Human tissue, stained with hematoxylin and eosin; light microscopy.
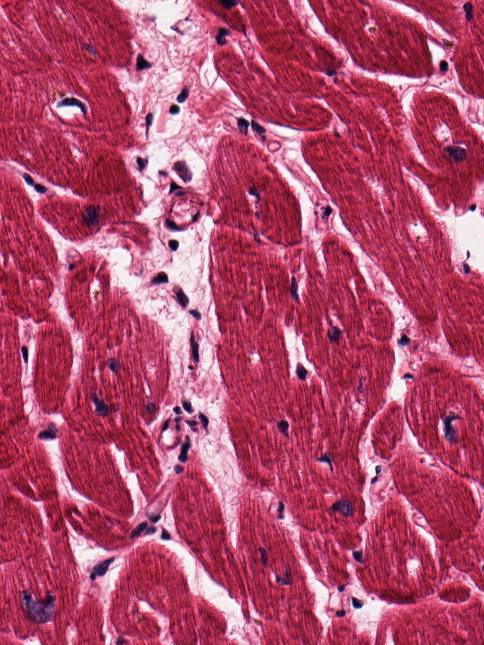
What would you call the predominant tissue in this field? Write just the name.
myocardium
